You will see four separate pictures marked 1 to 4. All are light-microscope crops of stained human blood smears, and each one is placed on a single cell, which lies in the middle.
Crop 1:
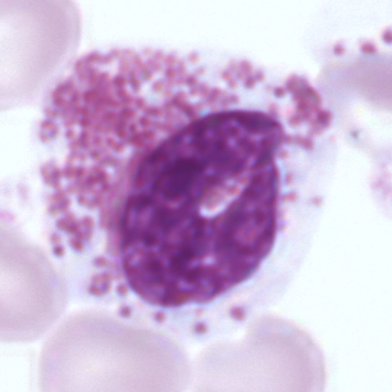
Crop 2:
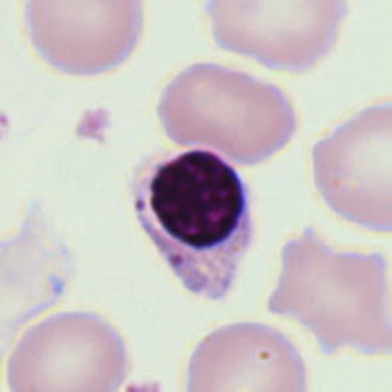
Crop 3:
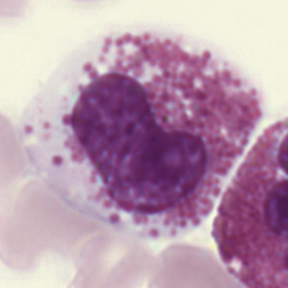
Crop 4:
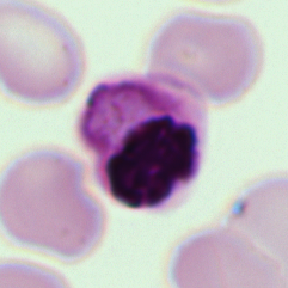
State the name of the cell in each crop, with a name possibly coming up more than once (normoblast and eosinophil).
1: eosinophil
2: normoblast
3: eosinophil
4: normoblast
